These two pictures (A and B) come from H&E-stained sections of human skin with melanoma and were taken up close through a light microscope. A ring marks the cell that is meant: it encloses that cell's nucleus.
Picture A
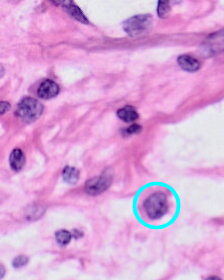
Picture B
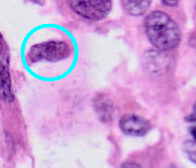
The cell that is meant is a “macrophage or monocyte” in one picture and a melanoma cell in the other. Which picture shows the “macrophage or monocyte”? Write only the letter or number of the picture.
A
